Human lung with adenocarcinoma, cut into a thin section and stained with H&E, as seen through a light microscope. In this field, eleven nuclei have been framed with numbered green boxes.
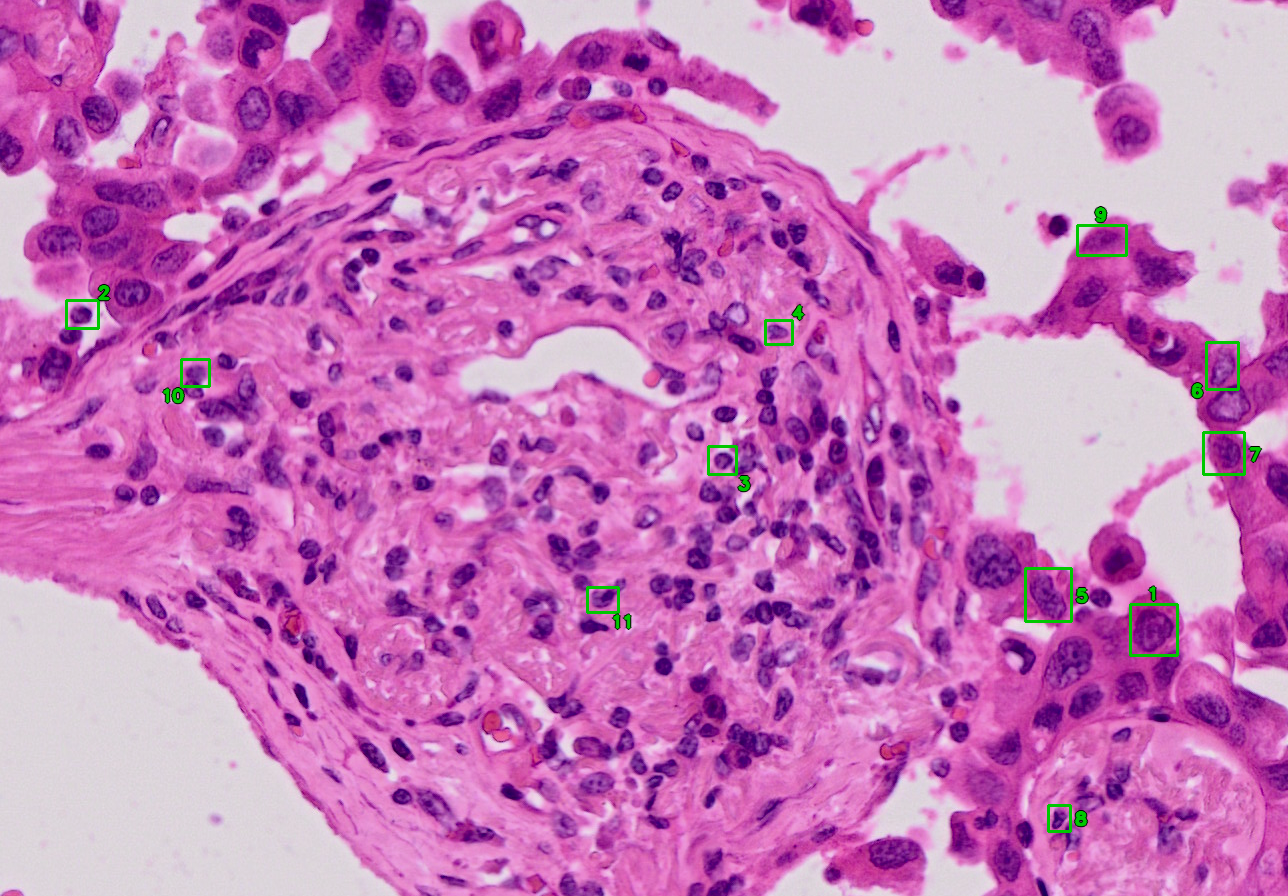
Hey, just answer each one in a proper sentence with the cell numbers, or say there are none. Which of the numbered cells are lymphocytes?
The cells to which the numbers 2, 3, 4, 8, 10 and 11 refer are lymphocytes.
